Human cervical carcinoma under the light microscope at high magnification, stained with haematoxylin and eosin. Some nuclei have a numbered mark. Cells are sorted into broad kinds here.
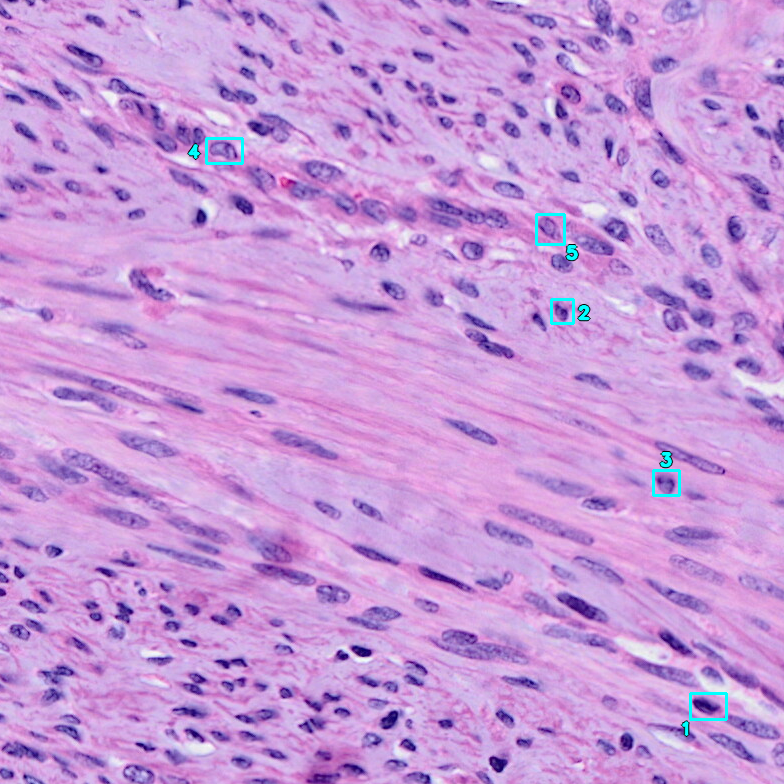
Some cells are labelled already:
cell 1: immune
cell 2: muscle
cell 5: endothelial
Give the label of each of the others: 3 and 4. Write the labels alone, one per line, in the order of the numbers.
muscle
endothelial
